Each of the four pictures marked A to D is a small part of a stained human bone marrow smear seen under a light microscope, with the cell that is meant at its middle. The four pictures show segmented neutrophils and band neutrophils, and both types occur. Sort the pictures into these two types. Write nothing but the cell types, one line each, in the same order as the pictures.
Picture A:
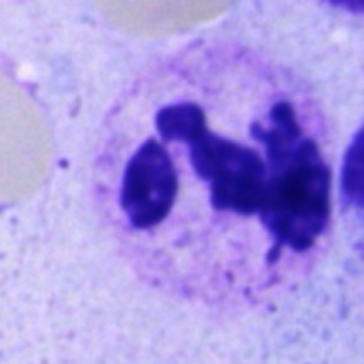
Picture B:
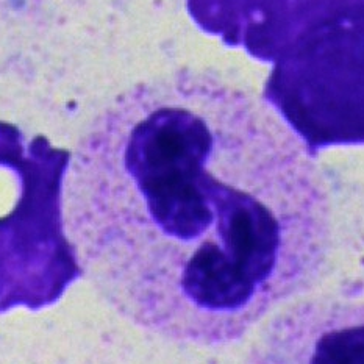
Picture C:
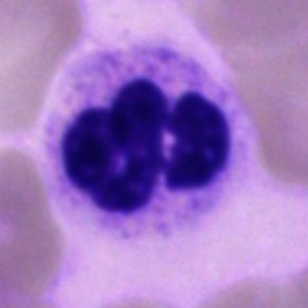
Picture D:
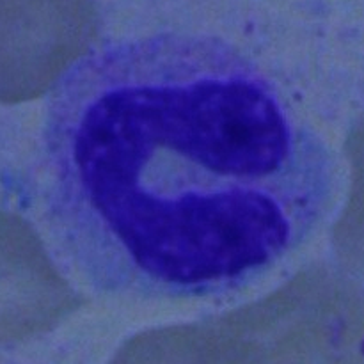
segmented neutrophil
segmented neutrophil
segmented neutrophil
band neutrophil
